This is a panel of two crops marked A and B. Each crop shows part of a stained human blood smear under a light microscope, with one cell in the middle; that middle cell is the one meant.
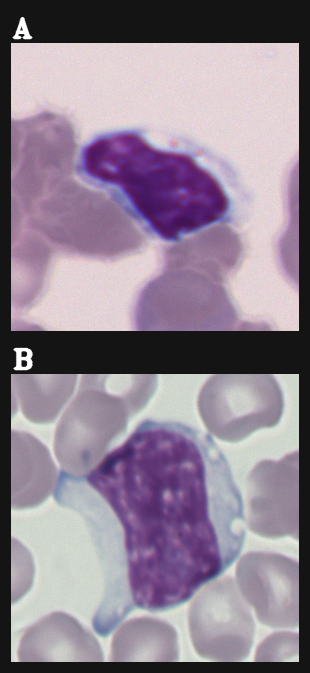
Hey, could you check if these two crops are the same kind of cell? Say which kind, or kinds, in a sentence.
No, crop A and crop B show a typical lymphocyte and a myeloblast respectively.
